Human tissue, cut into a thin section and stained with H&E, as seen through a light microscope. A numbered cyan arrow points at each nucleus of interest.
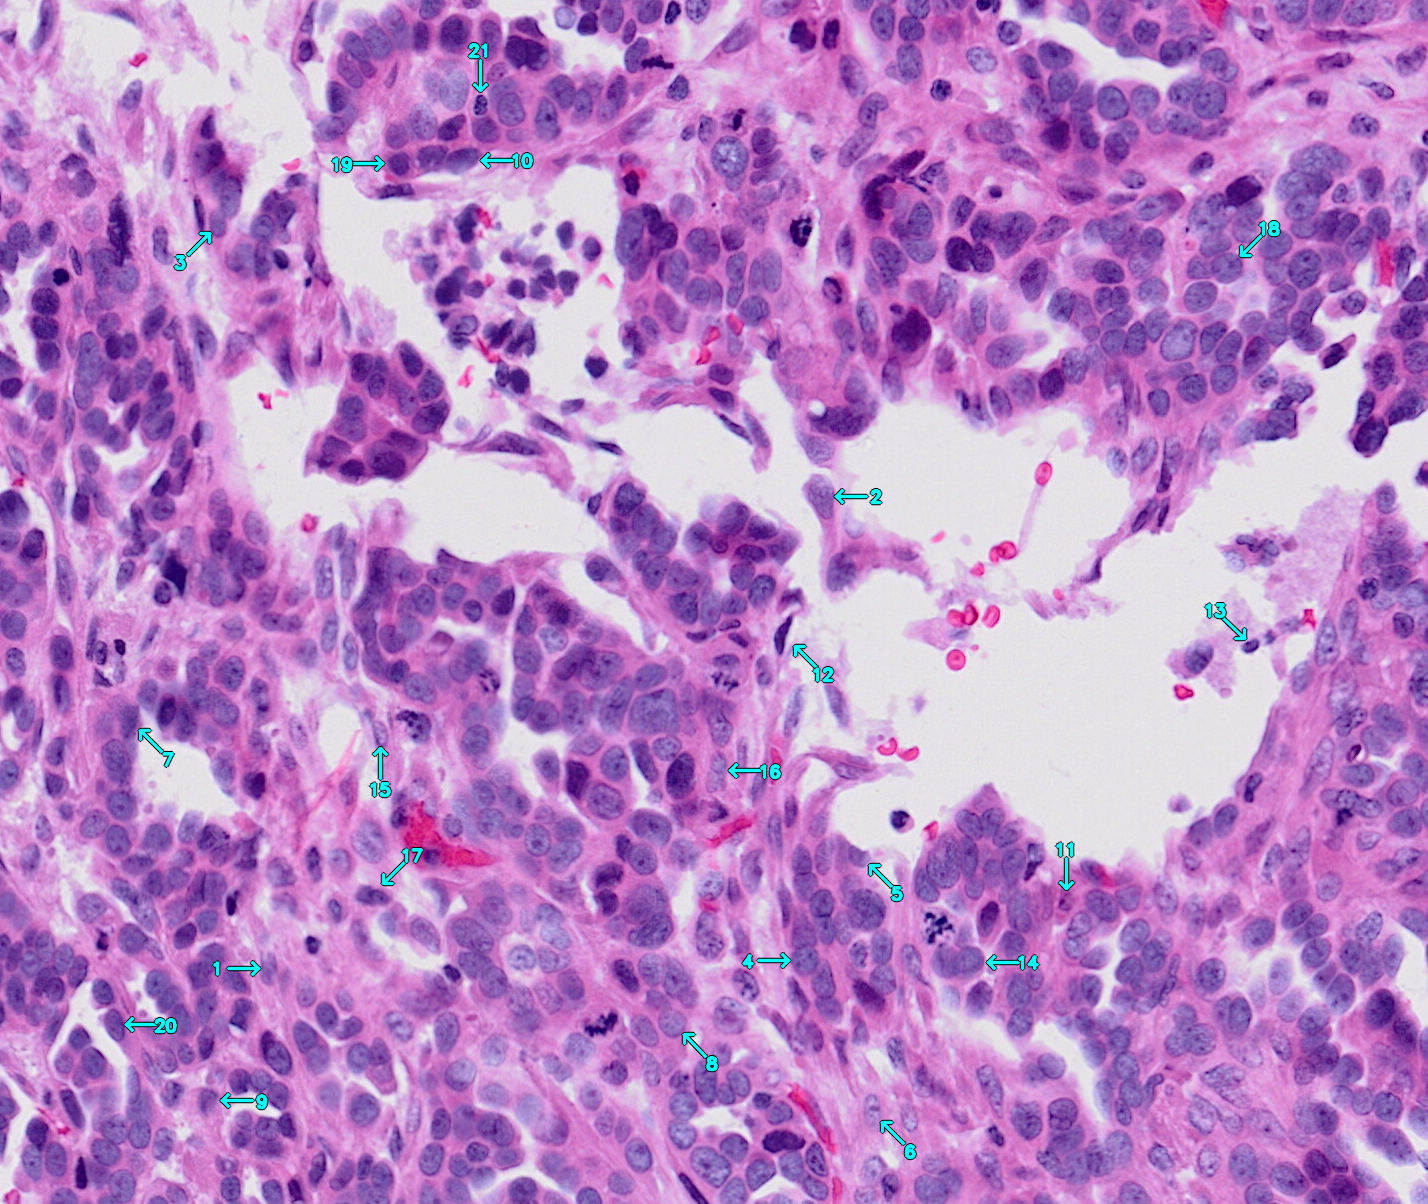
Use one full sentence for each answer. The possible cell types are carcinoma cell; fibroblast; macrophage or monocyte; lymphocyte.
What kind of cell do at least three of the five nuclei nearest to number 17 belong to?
Fibroblasts account for more than half of the five nuclei nearest to number 17.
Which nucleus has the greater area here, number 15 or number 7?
The larger nucleus is 7, at roughly 1.5 times the area of 15.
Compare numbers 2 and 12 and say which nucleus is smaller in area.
It is nucleus 12; nucleus 2 has about 2 times its area.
